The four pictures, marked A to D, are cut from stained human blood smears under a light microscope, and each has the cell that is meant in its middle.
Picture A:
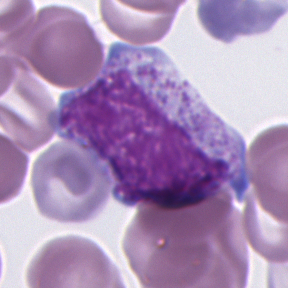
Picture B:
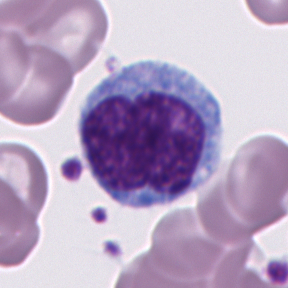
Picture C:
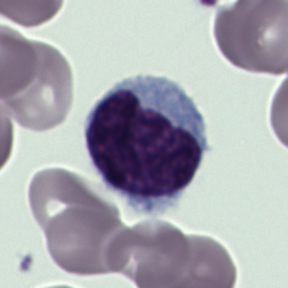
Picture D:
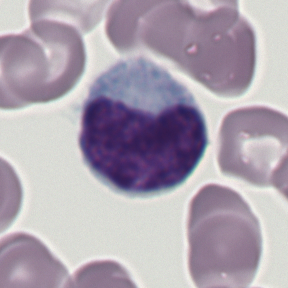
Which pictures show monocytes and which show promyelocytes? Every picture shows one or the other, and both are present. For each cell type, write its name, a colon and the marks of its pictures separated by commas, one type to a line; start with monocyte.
monocyte: B, C, D
promyelocyte: A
